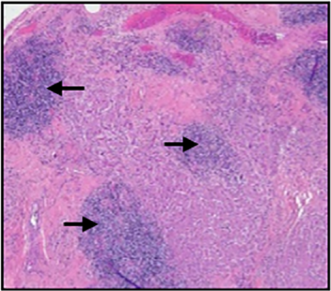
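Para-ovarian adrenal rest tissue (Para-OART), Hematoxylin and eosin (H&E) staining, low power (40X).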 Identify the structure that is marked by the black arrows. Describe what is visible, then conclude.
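The arrows point to rounded, densely packed dark blue-purple clusters. The clusters stand out from the surrounding paler pink tissue. Several such clusters lie scattered through the field. That points to this answer: lymphoid aggregates.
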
